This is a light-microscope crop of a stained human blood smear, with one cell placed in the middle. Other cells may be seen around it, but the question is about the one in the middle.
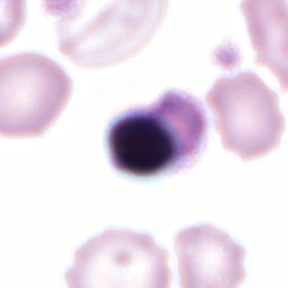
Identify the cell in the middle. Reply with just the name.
erythroblast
